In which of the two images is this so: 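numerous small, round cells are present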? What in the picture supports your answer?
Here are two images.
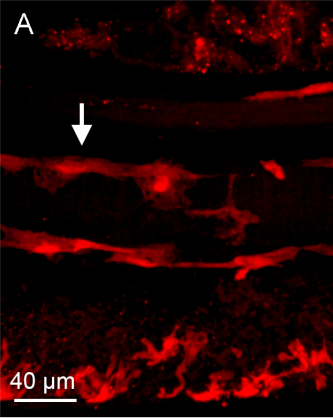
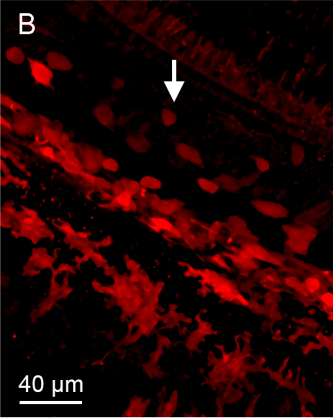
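First image: red cells are elongated and spindle-shaped, with no small round cells. The answer: the second image.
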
